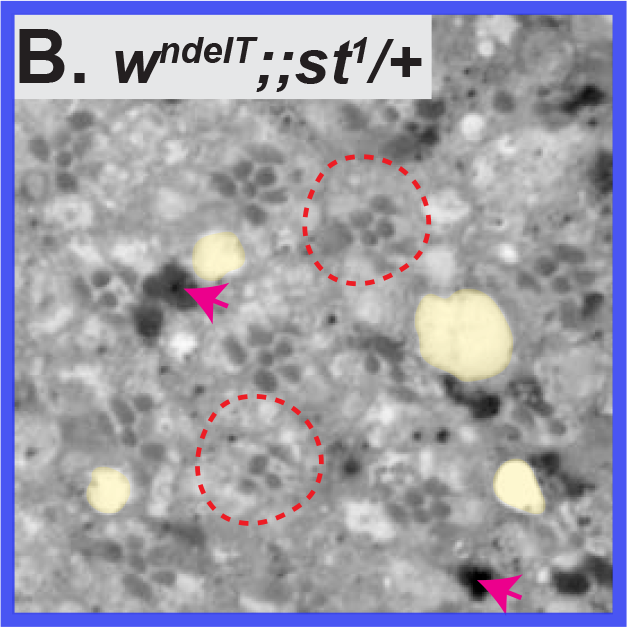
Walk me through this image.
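Transverse section of the compound eye with degenerating ommatidia. Rhabdomere clusters are faint and incomplete, many units showing only a few pale grey profiles rather than a full compact ring of dark ones. Several larger clear holes, tinted yellow, are scattered through the tissue. Irregular, intensely dark-stained patches of debris lie between units. The overall pattern of ommatidia is less regular and harder to trace than in intact retina.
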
